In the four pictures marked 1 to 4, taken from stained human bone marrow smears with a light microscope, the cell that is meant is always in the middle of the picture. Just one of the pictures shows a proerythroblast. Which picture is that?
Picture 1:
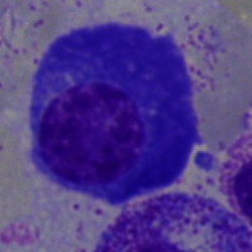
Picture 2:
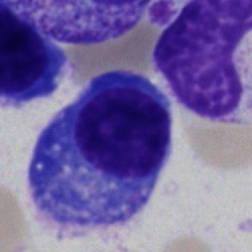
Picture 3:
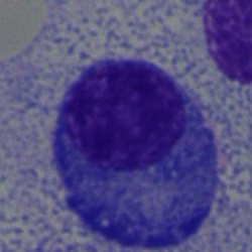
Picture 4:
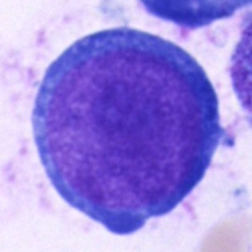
4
